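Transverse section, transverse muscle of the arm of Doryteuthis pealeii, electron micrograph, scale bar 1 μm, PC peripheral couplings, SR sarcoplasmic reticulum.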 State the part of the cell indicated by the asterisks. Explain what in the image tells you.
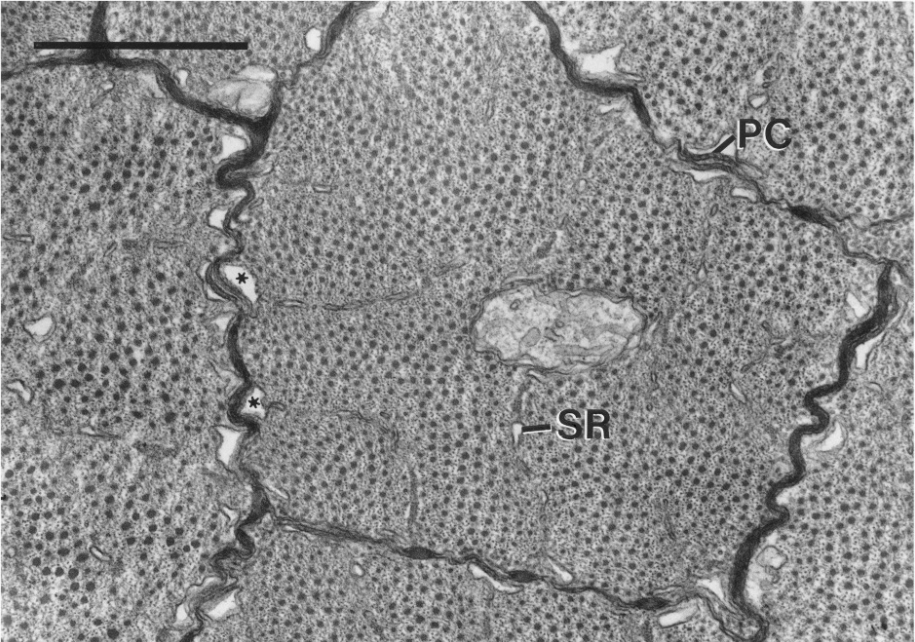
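Terminal cisternae. The asterisks sit in small membrane-bound sacs at the edge of the fiber. The sacs lie pressed against the dark, wavy boundary membrane between neighbouring fibers.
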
